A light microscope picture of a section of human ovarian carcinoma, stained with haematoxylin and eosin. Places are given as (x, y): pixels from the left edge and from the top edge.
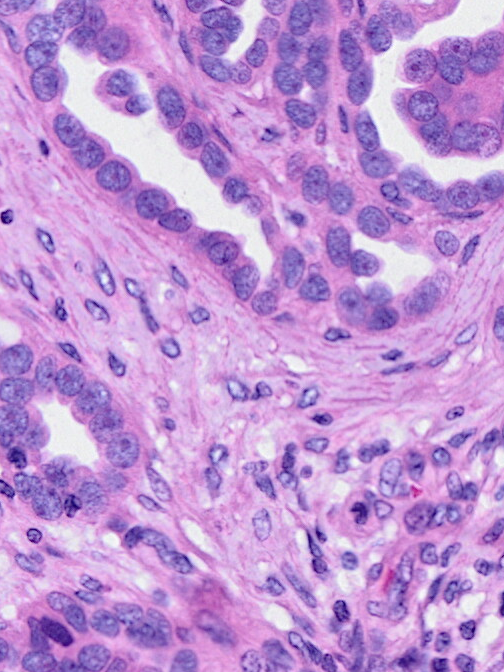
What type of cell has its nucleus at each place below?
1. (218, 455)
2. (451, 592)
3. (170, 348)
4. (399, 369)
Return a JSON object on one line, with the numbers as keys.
{"1": "fibroblast", "2": "macrophage or monocyte", "3": "fibroblast", "4": "fibroblast"}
